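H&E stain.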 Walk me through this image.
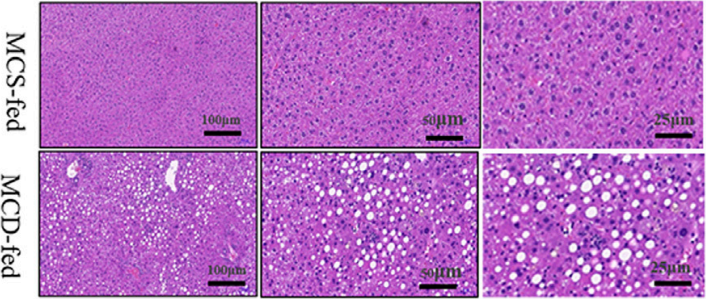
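These are sections of liver, where the field is filled with hepatocytes stained pink with round, blue-purple nuclei. In the upper row the cytoplasm of the hepatocytes is evenly pink and the cells lie closely packed, giving a uniform, orderly lobular architecture. In the lower row many hepatocytes hold clear, round, empty-looking vacuoles of varying size, from small droplets to large ones that fill most of the cell. Small dark nuclei of other cells are seen here and there between the vacuolated hepatocytes.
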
